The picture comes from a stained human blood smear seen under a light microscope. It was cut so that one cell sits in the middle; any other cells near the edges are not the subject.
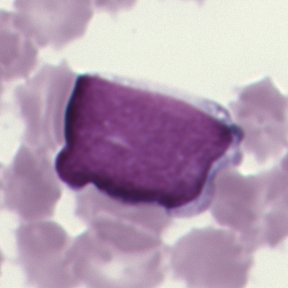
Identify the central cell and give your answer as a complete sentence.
Here the centrally located cell is a myeloblast.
